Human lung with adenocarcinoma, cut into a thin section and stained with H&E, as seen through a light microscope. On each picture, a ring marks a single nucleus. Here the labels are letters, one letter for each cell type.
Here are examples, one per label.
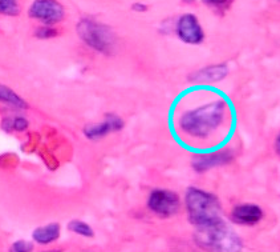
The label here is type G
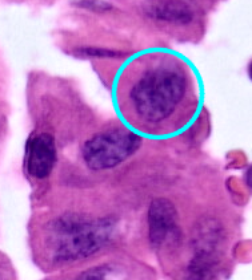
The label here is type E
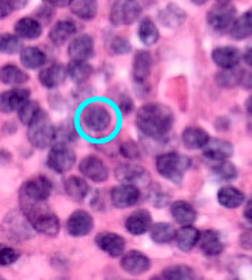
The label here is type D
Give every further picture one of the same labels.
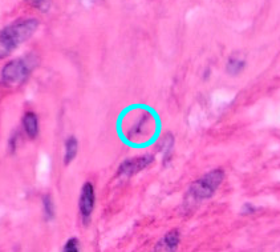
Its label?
type G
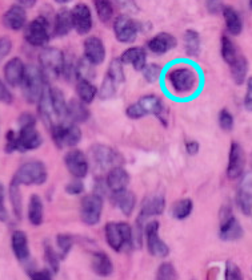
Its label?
type D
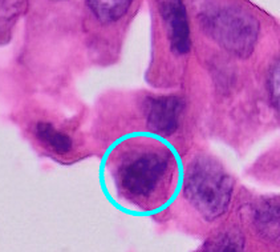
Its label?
type E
